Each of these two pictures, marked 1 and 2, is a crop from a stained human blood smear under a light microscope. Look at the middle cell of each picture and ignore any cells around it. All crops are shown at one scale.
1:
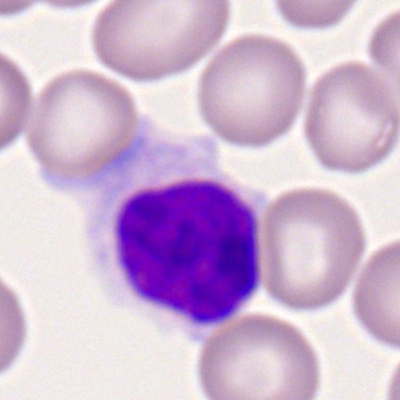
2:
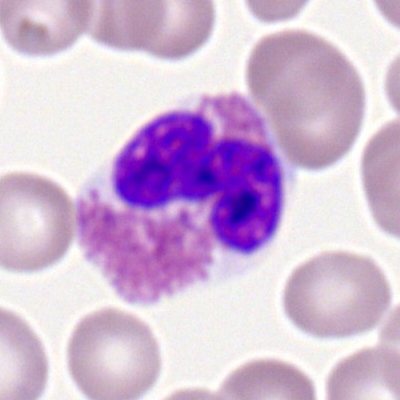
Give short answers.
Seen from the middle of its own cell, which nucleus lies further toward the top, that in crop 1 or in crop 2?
2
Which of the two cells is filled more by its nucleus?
1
